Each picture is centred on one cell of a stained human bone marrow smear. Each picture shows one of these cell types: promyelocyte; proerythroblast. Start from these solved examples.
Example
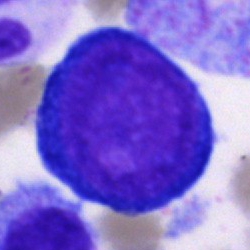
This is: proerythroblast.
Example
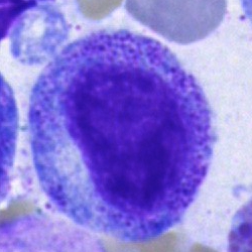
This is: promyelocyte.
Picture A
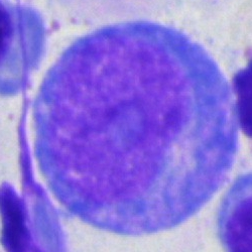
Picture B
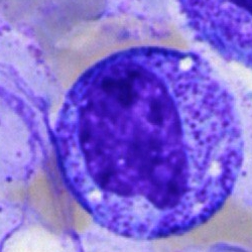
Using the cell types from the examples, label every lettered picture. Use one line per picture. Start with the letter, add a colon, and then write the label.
A: promyelocyte.
B: promyelocyte.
